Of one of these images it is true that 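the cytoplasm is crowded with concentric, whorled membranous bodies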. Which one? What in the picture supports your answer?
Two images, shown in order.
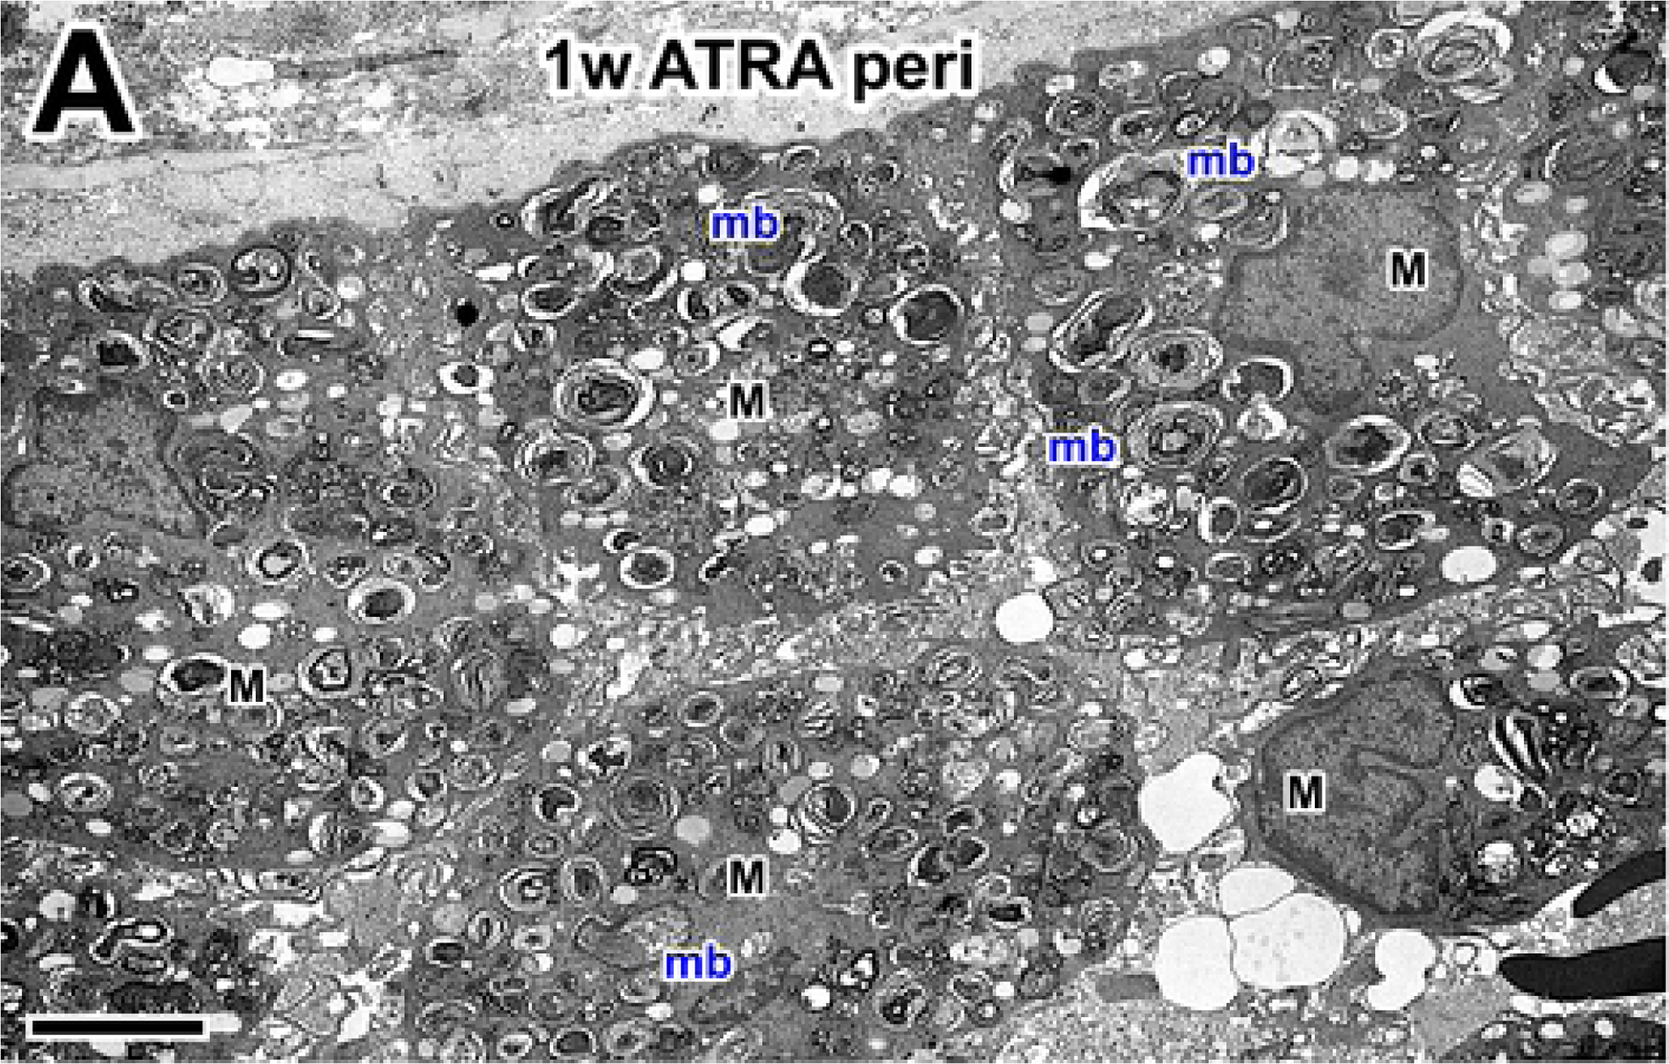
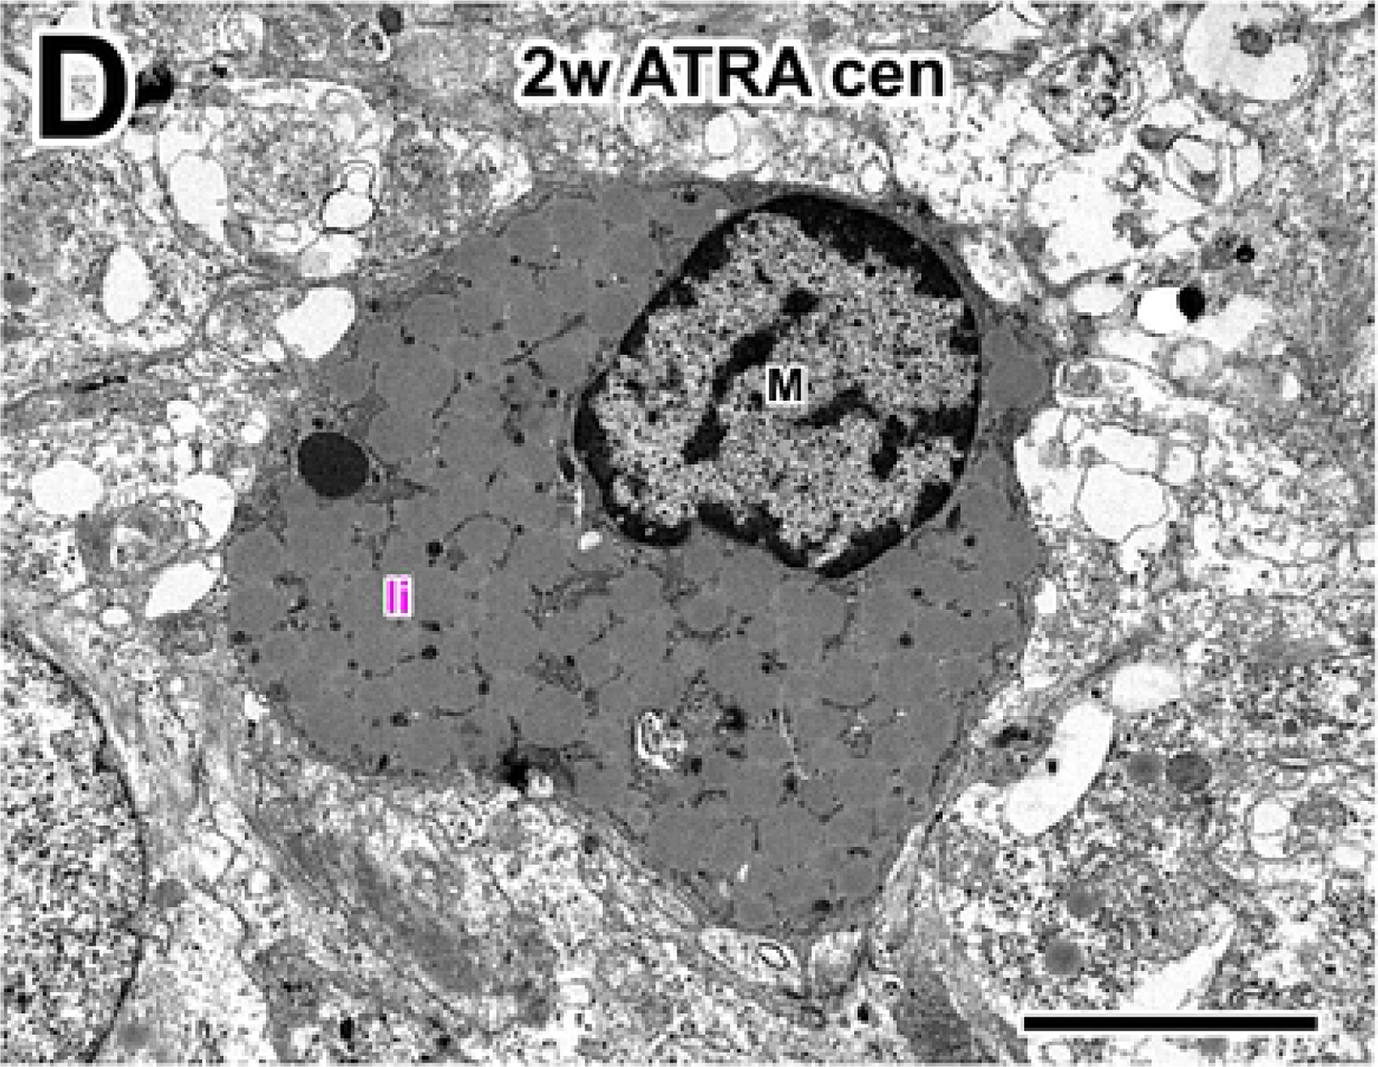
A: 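First image: the cells' cytoplasm is packed with many small rings of concentric, onion-like membranes. That points to this answer: the first image.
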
